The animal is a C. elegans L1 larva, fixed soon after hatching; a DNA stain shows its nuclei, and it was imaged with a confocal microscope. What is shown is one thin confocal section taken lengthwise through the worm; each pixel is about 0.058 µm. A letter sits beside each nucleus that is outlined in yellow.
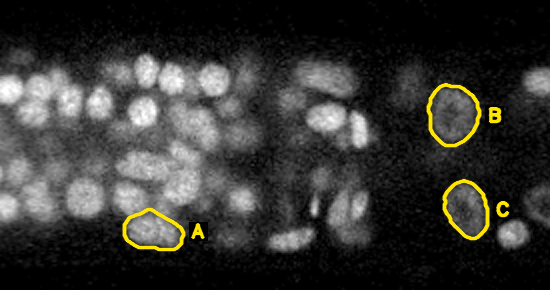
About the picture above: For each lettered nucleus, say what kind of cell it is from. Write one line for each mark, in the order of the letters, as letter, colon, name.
A: body wall muscle cell
B: intestinal cell
C: intestinal cell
